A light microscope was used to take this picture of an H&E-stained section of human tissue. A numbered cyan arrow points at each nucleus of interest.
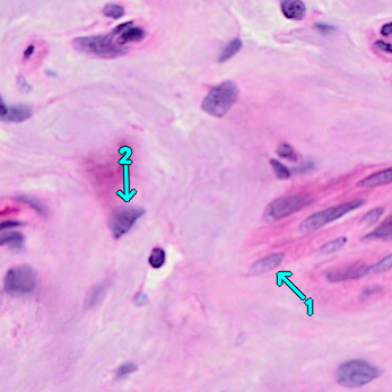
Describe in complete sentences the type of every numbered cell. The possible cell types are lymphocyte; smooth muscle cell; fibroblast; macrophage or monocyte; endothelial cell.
Cell 1 is a smooth muscle cell and cell 2 is a fibroblast.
